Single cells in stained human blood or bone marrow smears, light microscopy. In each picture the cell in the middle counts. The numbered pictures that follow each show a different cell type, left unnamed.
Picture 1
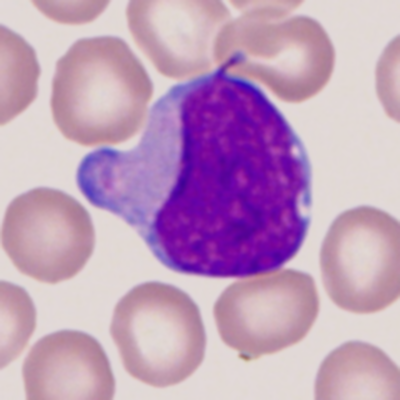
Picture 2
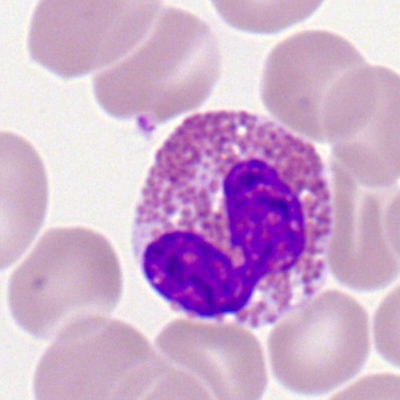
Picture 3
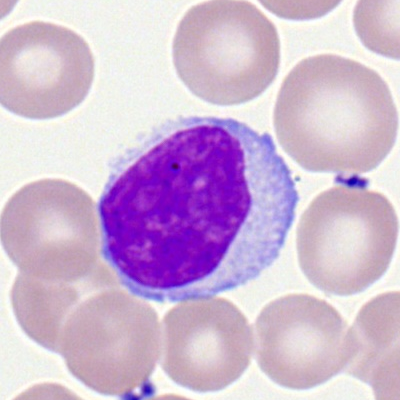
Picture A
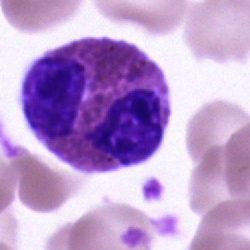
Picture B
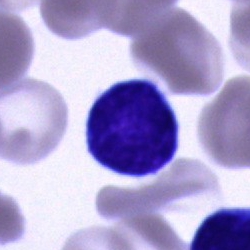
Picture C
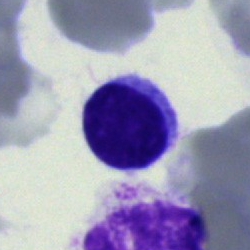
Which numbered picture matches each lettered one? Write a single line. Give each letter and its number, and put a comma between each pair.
A 2, B 3, C 3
